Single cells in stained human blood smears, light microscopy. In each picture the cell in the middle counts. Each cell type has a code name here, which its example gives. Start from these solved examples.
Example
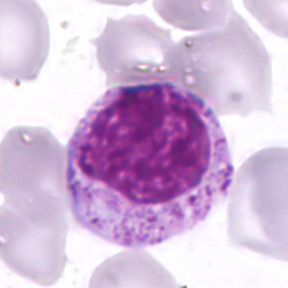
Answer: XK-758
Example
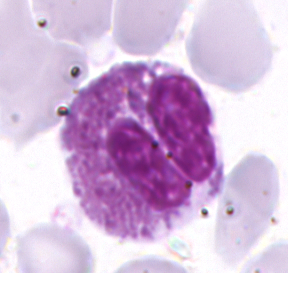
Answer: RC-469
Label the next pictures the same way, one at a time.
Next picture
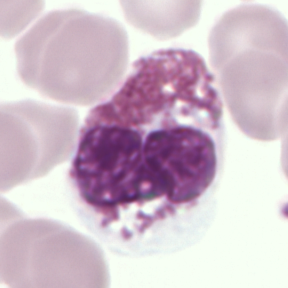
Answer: RC-469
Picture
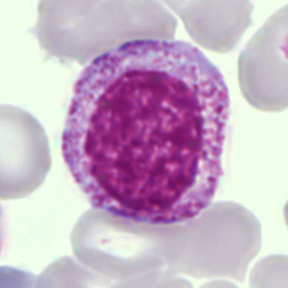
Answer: XK-758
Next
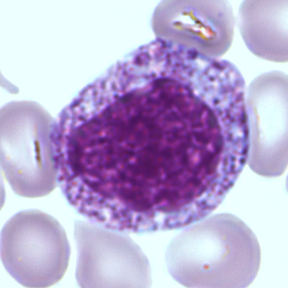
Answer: XK-758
